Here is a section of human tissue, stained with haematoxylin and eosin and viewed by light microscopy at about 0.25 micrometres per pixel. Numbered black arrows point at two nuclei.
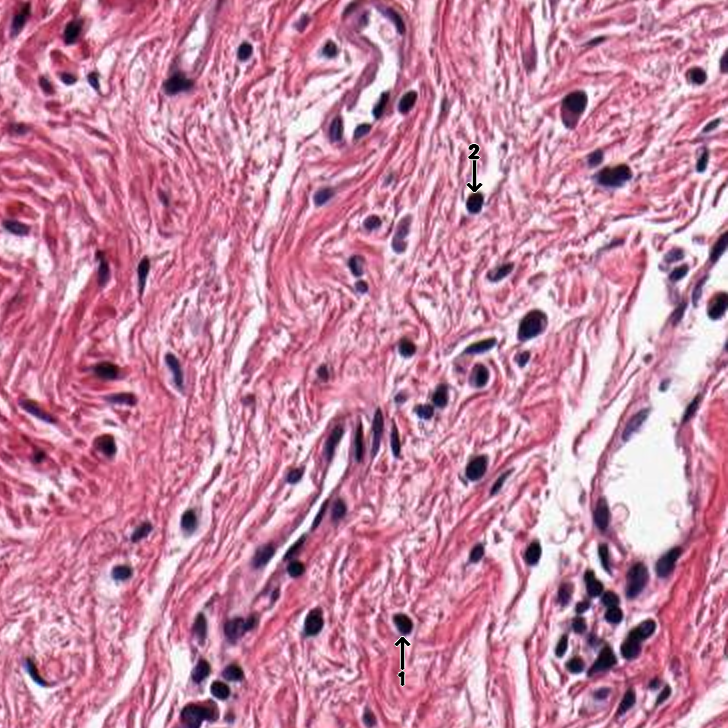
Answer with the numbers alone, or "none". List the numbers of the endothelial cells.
none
